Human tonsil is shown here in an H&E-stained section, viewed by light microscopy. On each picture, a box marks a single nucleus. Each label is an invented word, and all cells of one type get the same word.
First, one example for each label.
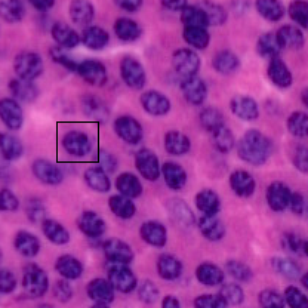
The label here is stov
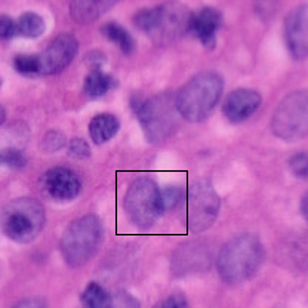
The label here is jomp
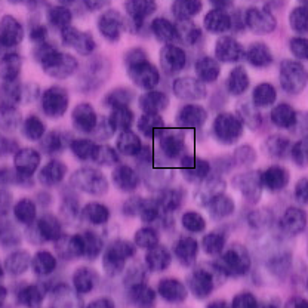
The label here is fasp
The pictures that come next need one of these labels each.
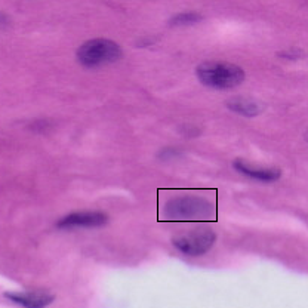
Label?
jomp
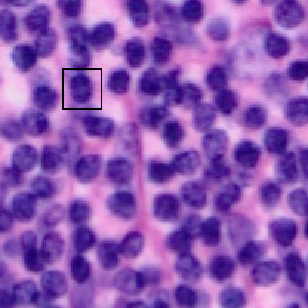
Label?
fasp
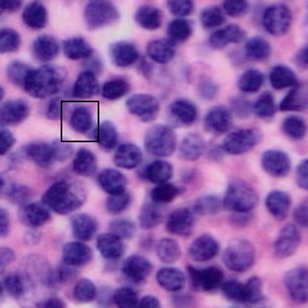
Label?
fasp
